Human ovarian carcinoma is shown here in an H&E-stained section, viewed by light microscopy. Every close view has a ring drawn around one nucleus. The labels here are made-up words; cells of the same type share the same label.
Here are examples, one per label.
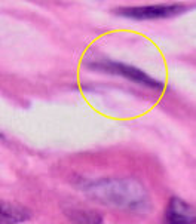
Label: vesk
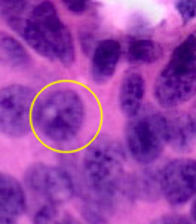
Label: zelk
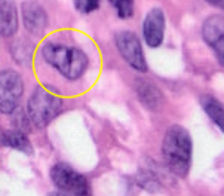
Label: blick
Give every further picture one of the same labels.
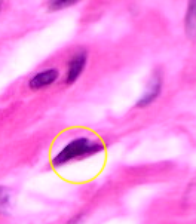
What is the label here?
vesk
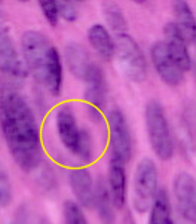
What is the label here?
zelk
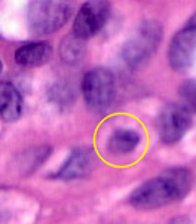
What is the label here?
blick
